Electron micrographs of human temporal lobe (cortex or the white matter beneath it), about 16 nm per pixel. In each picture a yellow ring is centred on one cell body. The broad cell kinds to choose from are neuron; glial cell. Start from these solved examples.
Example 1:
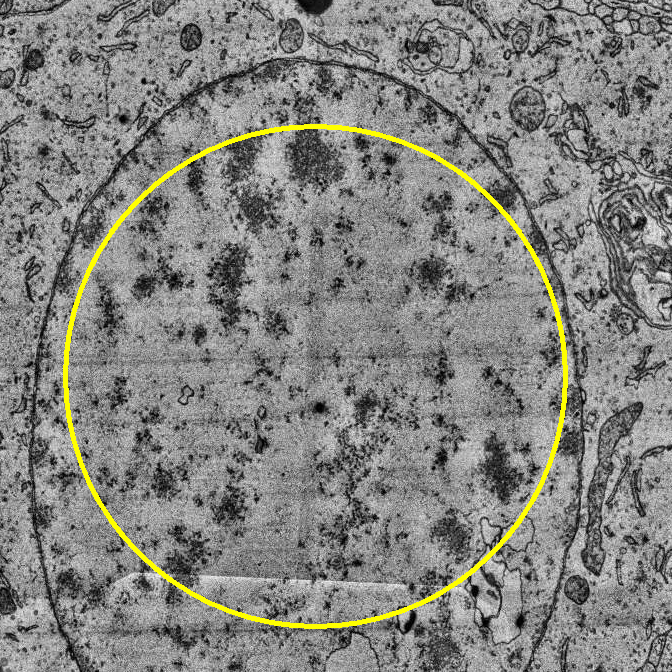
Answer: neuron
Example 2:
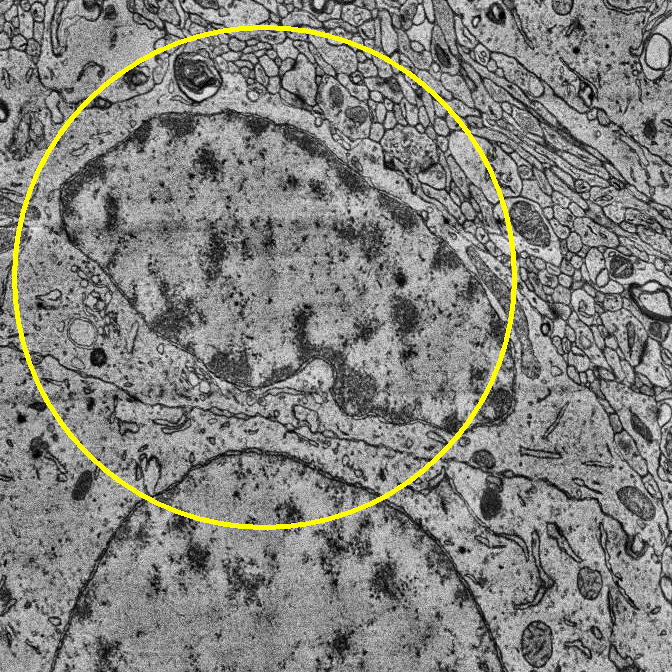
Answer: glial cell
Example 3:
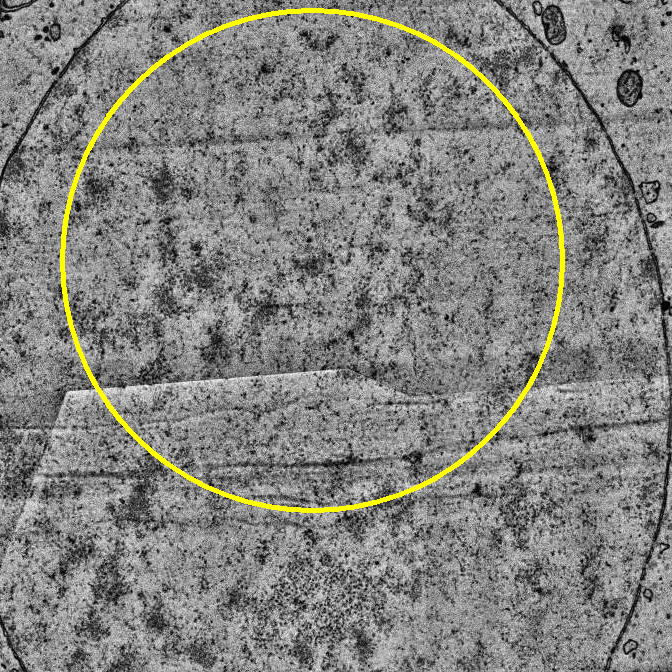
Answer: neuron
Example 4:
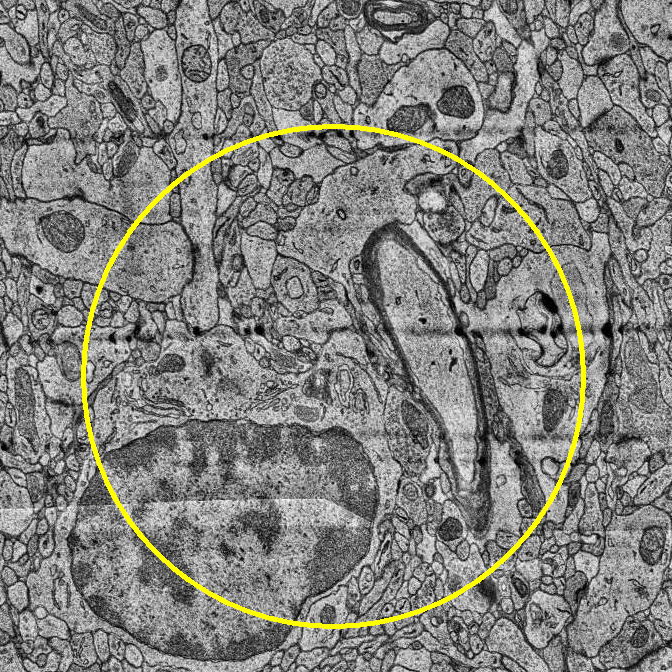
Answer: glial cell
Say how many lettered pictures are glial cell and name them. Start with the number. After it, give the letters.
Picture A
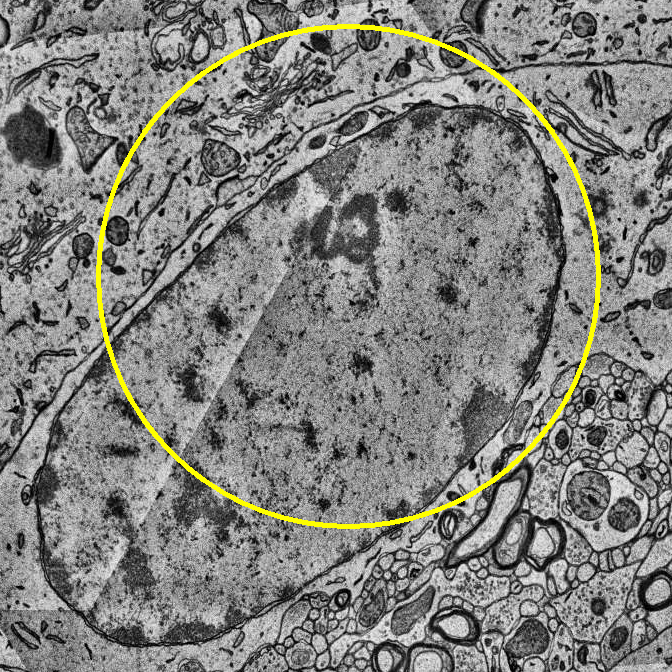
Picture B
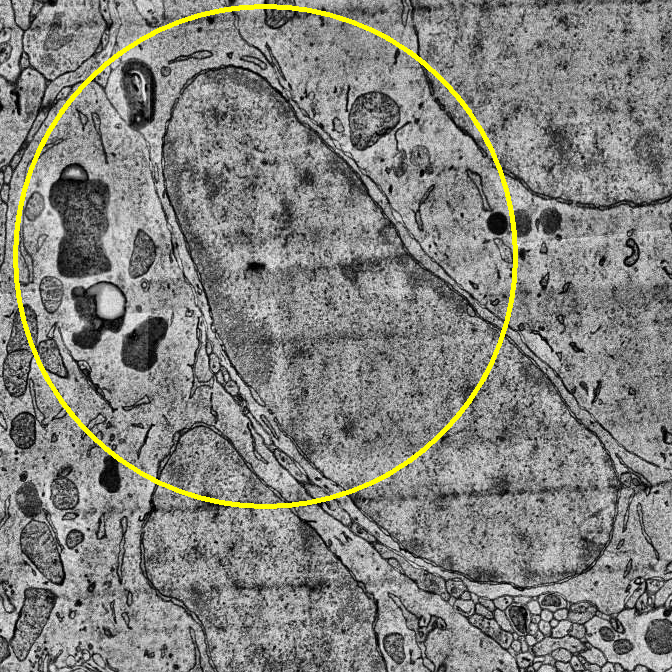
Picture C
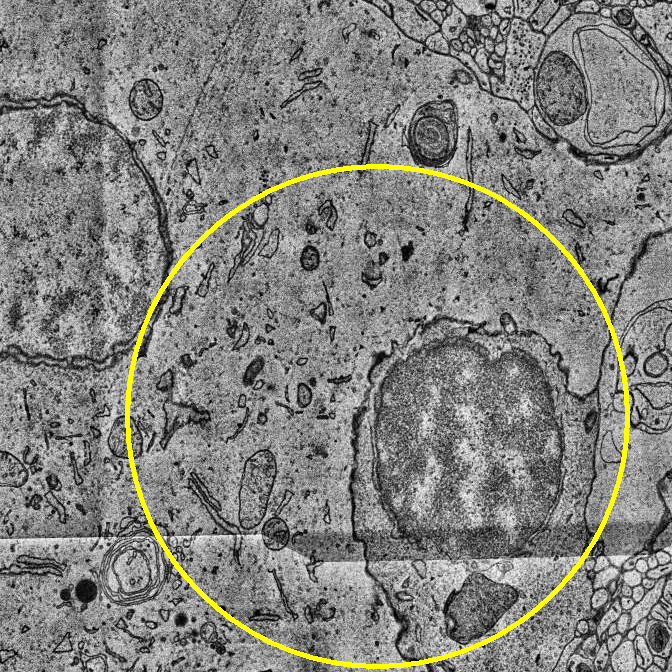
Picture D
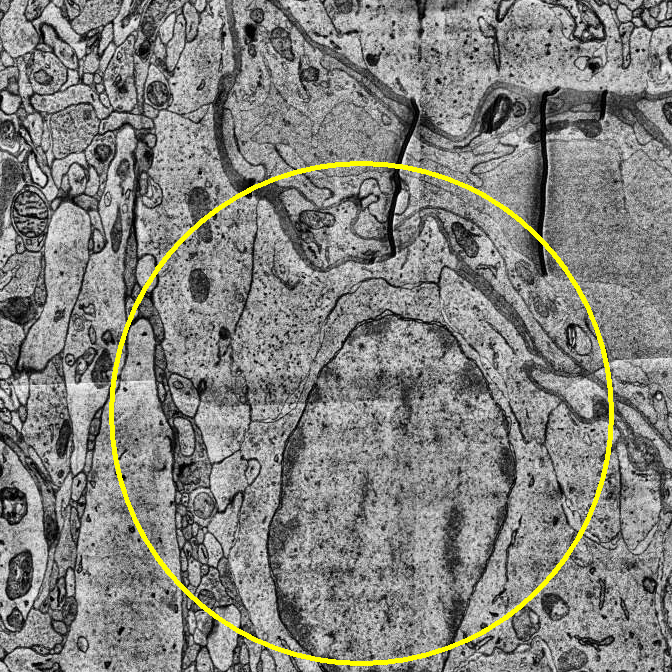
4: A, B, C, D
